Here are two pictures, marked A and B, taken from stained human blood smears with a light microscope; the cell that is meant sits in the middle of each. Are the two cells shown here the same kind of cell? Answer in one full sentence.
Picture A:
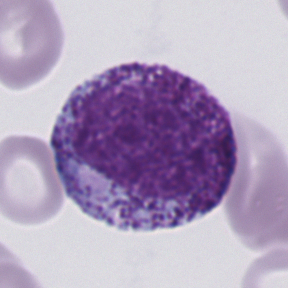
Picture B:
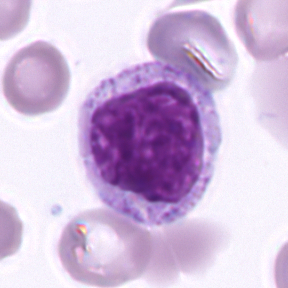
No. Picture A shows a promyelocyte, but picture B shows a myelocyte.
